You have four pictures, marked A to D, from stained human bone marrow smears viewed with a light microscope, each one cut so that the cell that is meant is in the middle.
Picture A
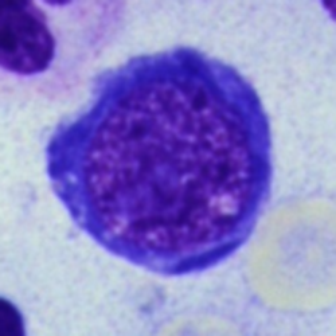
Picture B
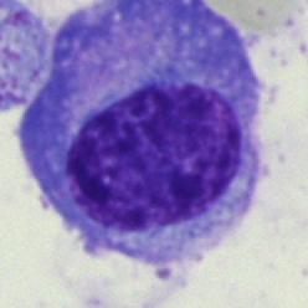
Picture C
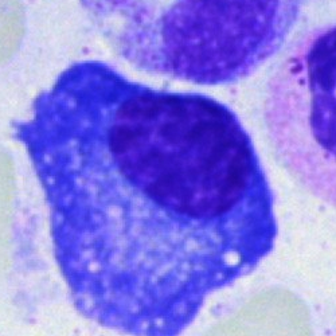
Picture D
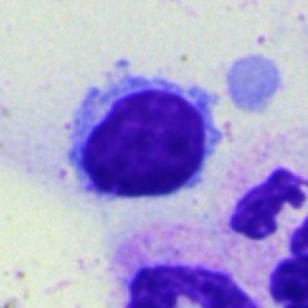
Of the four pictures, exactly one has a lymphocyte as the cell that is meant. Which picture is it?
D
